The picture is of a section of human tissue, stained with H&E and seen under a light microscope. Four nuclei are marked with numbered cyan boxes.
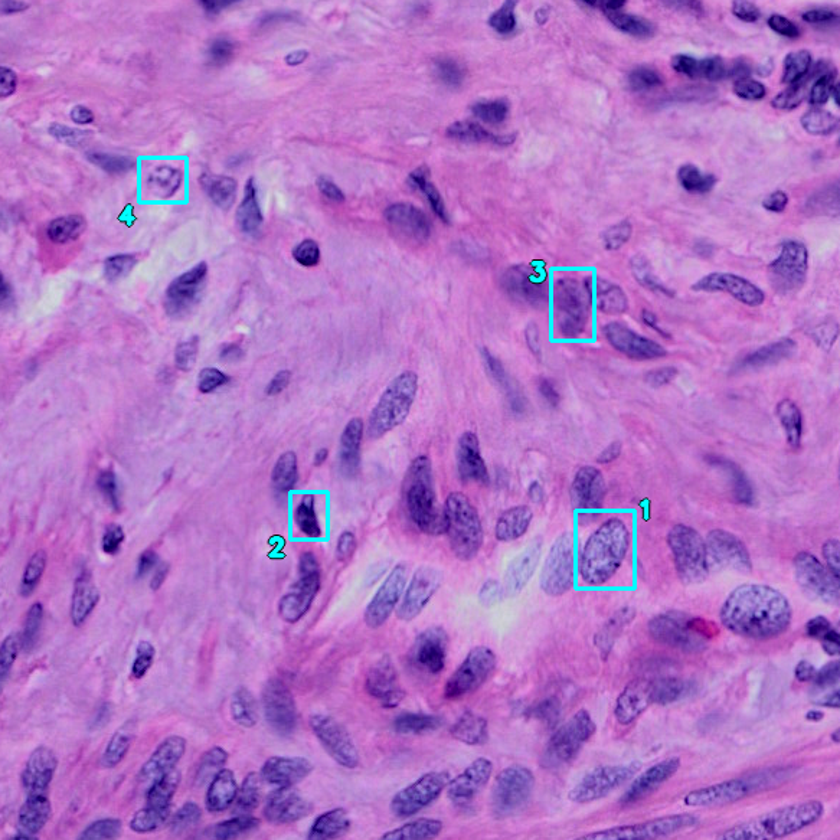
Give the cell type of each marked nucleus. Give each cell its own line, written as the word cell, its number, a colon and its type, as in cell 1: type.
cell 1: endothelial cell
cell 2: lymphocyte
cell 3: endothelial cell
cell 4: macrophage or monocyte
